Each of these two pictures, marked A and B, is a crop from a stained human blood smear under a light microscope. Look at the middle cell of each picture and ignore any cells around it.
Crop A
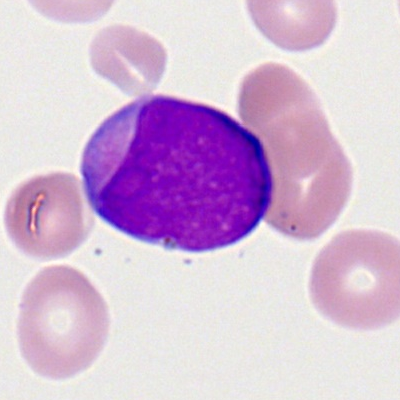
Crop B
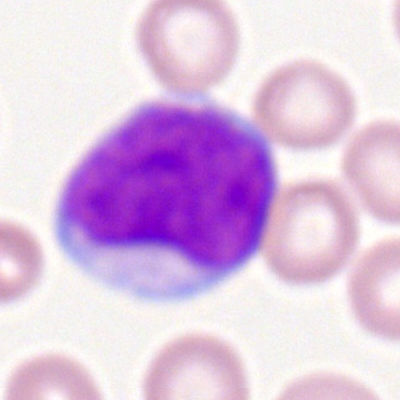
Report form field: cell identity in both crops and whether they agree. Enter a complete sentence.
Yes, the cells at the centres of the two crops are myeloblasts.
